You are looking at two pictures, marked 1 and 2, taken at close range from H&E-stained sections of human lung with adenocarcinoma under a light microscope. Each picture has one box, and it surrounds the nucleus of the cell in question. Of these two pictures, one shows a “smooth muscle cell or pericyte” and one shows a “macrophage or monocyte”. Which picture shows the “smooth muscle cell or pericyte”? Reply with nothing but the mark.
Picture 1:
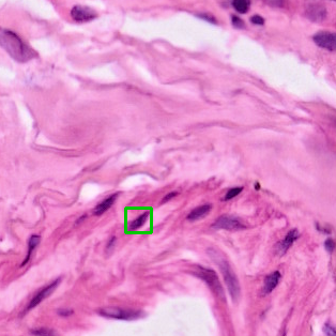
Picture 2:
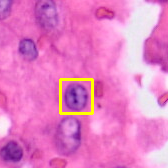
1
